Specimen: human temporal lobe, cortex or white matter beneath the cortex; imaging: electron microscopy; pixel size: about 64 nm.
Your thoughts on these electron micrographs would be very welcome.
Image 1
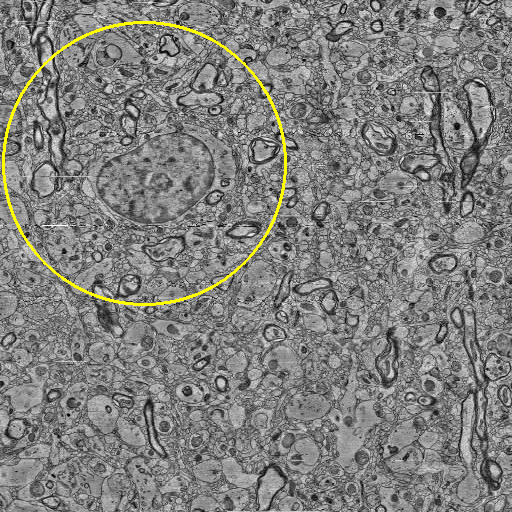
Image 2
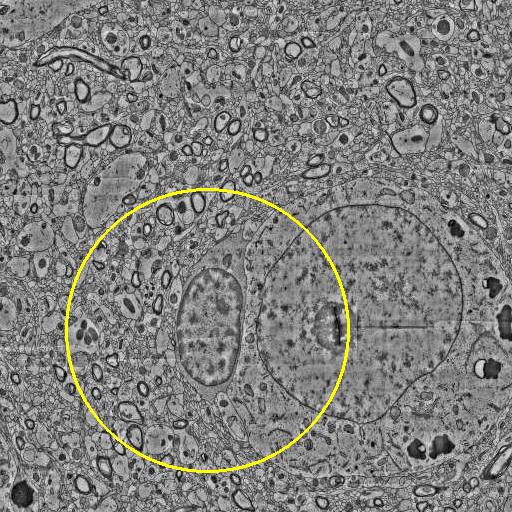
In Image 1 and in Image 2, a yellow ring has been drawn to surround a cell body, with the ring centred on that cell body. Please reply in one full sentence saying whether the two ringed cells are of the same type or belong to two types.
The ringed cells in Image 1 and Image 2 belong to two types.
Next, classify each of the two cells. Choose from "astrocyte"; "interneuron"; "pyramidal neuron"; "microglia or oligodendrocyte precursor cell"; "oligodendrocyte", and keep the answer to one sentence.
In the first picture it is a microglial cell or oligodendrocyte precursor cell; in the second it is an oligodendrocyte.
